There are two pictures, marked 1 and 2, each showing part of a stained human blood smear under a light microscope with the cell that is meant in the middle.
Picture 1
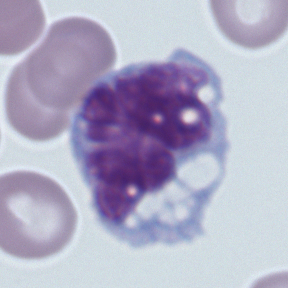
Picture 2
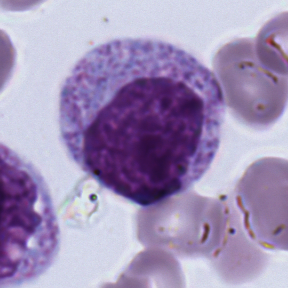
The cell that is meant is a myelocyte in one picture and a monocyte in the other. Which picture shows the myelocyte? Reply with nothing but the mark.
2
